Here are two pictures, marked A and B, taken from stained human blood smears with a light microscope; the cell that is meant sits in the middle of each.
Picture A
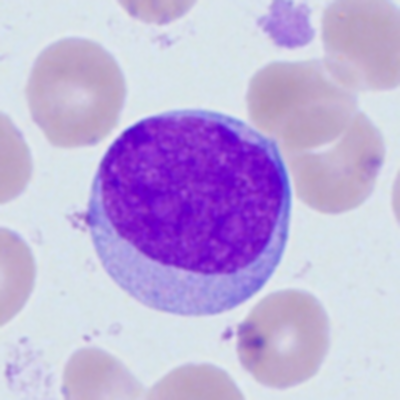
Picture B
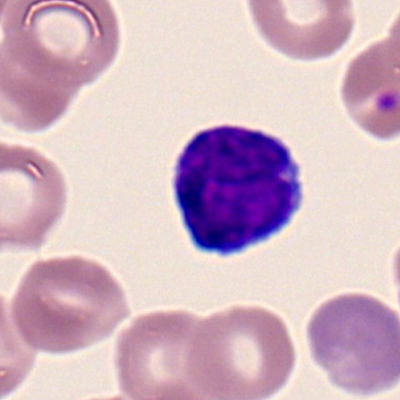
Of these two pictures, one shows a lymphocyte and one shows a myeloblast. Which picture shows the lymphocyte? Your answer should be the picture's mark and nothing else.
B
